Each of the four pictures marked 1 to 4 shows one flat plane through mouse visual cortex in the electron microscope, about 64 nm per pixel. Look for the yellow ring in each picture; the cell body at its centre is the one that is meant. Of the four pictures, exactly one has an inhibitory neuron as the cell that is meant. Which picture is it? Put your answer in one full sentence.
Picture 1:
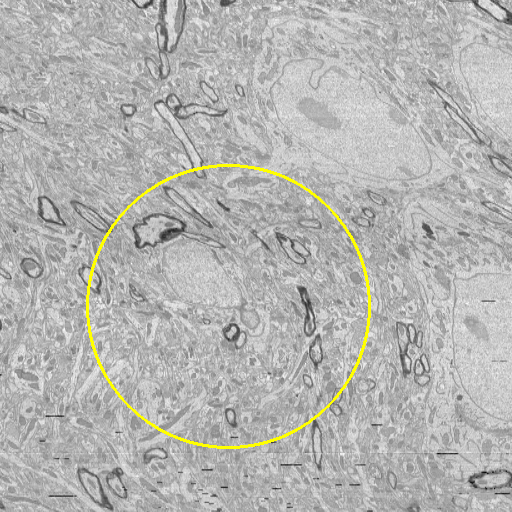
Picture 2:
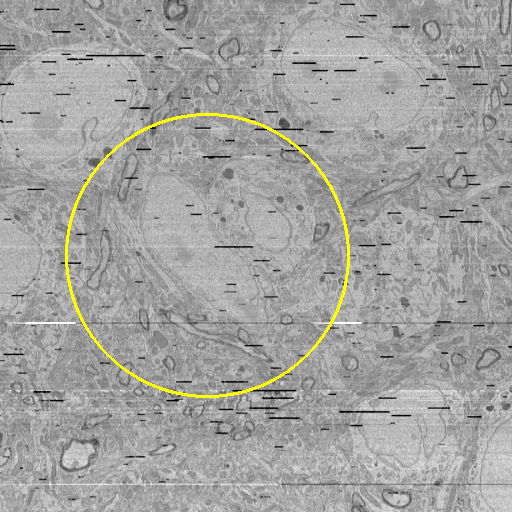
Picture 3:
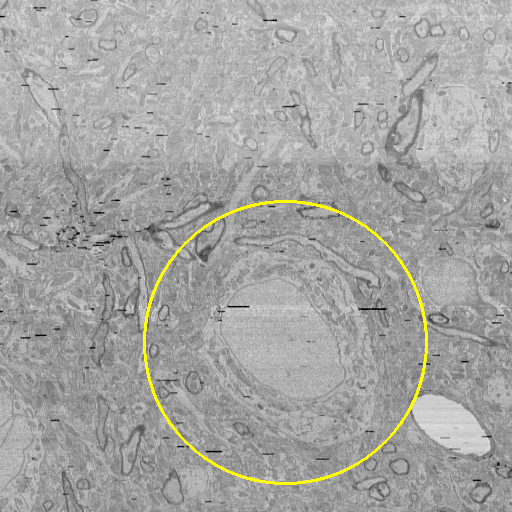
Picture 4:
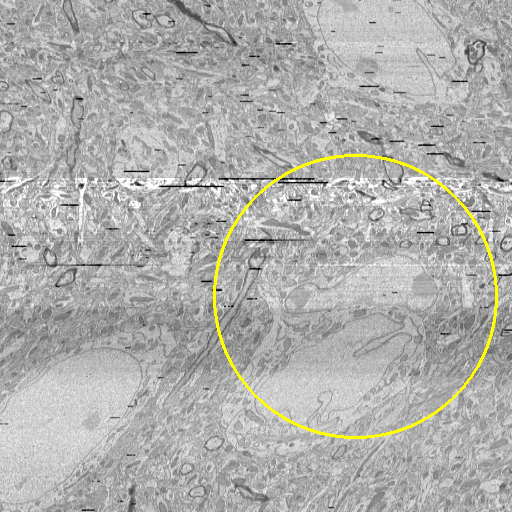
Picture 3 is the one that shows the inhibitory neuron.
